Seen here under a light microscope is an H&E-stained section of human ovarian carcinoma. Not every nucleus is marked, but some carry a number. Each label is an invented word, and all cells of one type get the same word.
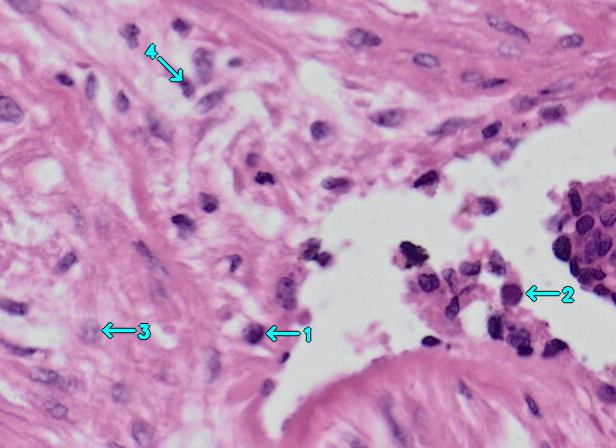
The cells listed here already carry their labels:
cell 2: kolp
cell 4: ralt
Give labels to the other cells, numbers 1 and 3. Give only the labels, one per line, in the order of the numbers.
ralt
ralt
